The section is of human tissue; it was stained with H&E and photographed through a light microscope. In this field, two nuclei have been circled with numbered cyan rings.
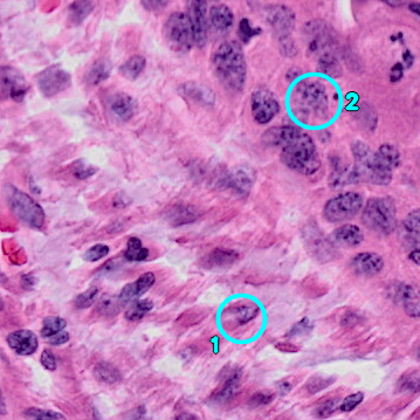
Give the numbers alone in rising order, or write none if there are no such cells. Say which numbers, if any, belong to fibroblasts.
1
